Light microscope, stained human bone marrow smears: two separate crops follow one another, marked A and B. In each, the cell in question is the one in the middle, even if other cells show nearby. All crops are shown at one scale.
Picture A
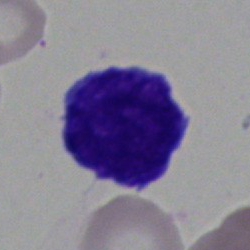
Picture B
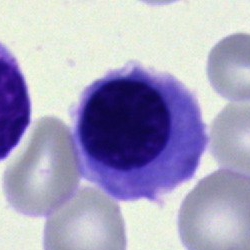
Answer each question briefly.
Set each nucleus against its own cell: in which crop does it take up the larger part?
A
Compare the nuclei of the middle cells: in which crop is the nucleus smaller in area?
B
